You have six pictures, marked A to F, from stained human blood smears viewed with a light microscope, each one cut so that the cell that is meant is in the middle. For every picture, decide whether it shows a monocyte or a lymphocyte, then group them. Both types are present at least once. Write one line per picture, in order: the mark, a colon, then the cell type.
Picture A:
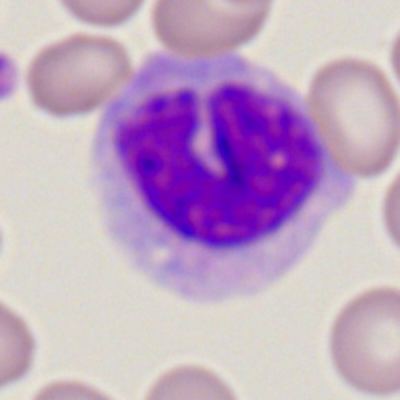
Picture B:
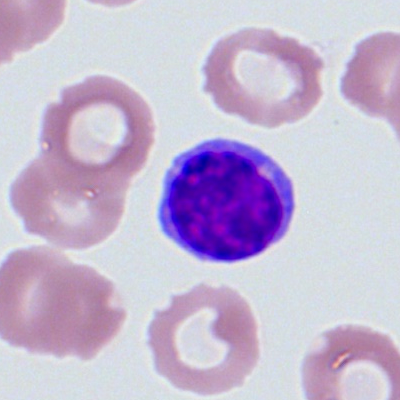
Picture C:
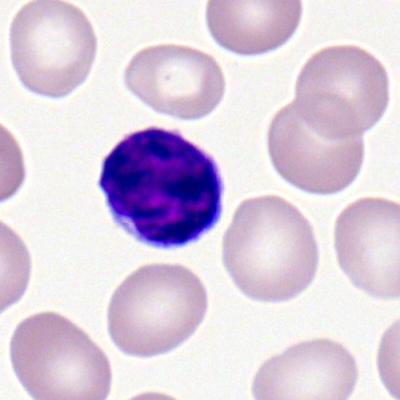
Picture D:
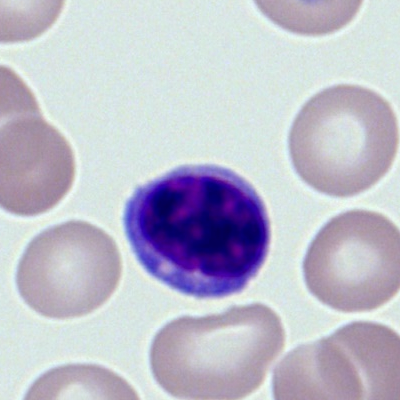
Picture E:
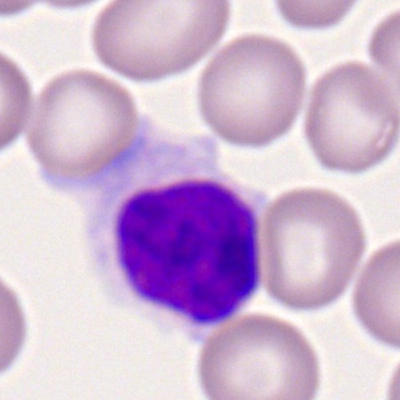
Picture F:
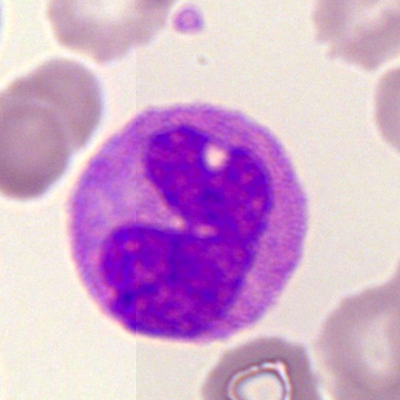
A: monocyte
B: lymphocyte
C: lymphocyte
D: lymphocyte
E: lymphocyte
F: monocyte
